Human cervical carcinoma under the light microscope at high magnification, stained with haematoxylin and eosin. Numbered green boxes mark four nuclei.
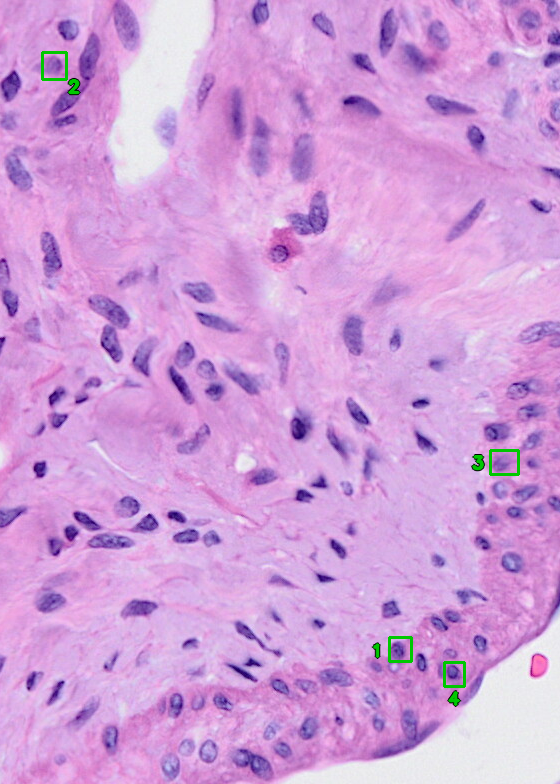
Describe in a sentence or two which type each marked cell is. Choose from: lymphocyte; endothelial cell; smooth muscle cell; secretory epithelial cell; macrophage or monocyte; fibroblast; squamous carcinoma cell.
Cells 1, 3 and 4 are smooth muscle cells. Cell 2 is a fibroblast.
